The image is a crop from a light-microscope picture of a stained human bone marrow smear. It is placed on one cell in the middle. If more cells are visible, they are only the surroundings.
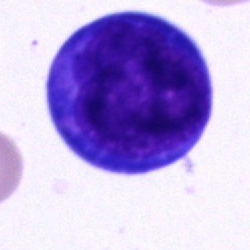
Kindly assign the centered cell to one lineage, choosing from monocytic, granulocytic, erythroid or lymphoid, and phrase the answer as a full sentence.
That the central cell belongs to the erythroid lineage is the finding here.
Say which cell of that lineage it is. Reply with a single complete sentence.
In this smear crop, the middle cell is a proerythroblast.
